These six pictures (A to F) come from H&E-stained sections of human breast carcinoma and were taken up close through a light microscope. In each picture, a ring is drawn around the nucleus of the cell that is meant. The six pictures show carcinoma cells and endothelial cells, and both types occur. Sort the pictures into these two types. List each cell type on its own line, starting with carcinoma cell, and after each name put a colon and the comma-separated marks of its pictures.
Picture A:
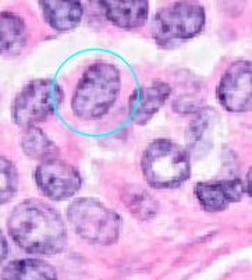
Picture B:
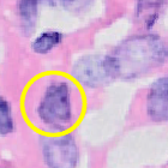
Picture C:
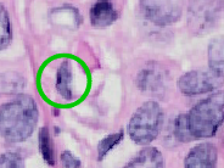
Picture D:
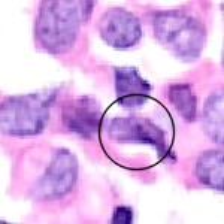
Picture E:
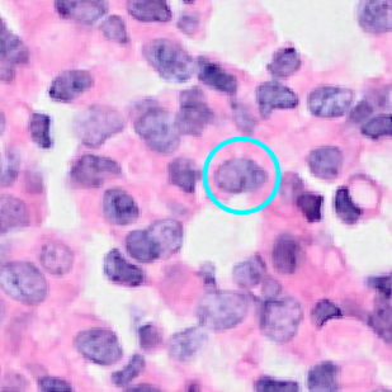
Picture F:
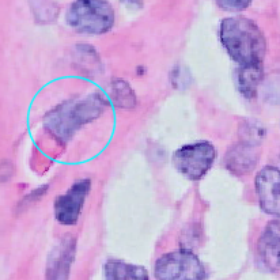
carcinoma cell: A, B, D, E
endothelial cell: C, F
